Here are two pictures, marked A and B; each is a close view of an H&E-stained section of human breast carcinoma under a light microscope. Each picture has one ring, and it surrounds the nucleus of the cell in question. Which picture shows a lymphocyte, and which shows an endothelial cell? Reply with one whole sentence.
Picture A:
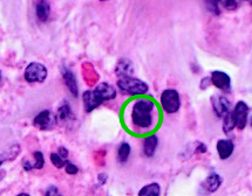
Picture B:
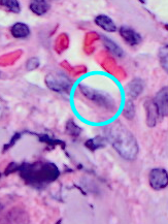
In picture A the cell is a lymphocyte; in picture B, an endothelial cell.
